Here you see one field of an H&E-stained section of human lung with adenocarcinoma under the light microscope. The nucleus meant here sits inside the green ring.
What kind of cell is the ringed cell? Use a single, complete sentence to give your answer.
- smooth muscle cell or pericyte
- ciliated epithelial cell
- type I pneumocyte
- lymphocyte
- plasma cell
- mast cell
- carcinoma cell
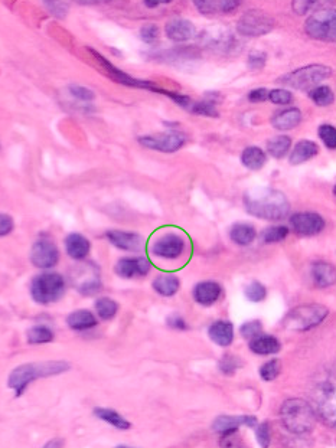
In the context of this tissue, the ringed cell is a lymphocyte.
